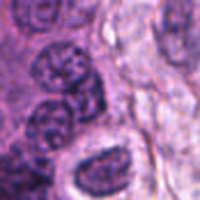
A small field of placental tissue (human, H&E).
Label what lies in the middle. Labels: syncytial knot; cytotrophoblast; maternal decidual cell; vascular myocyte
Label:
cytotrophoblast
